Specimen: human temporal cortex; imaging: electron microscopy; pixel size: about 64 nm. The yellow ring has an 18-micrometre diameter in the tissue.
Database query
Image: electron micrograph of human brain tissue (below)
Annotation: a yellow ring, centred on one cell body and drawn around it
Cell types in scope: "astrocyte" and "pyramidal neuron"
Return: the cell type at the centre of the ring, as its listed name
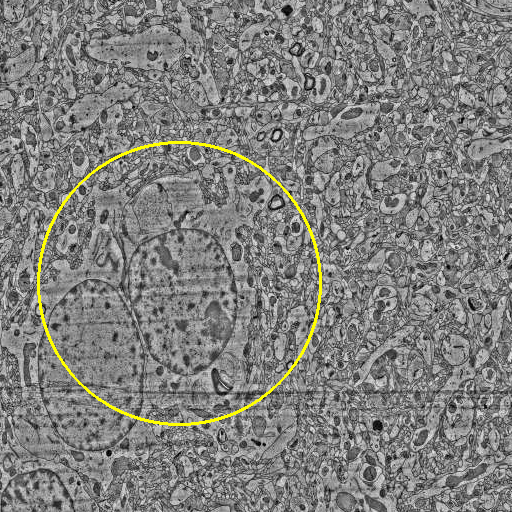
astrocyte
